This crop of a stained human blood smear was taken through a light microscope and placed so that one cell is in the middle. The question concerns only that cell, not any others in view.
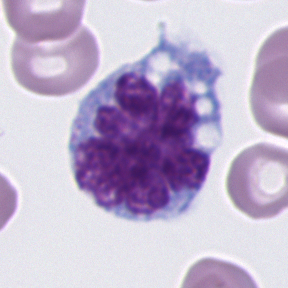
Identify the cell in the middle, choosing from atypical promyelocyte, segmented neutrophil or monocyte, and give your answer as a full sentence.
Classification of the middle cell gives a monocyte.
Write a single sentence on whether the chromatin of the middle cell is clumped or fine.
You can see that its chromatin is coarsely clumped.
